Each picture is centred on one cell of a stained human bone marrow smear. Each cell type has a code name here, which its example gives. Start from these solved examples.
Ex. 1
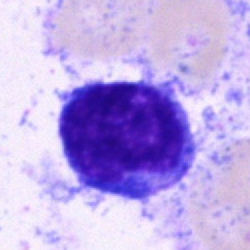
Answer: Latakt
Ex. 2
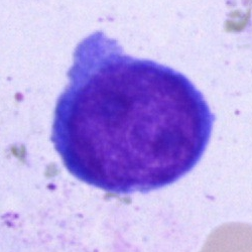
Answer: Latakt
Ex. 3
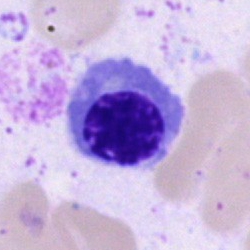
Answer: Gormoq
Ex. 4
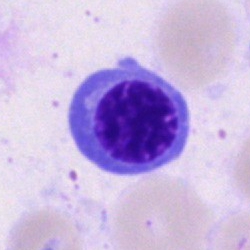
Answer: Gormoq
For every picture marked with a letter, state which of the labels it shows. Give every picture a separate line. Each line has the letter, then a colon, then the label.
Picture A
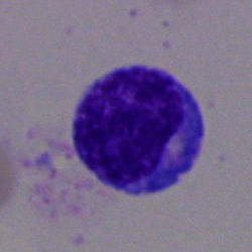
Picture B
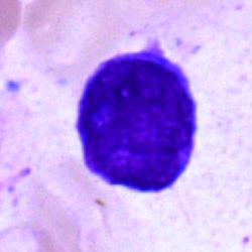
A: Latakt
B: Latakt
